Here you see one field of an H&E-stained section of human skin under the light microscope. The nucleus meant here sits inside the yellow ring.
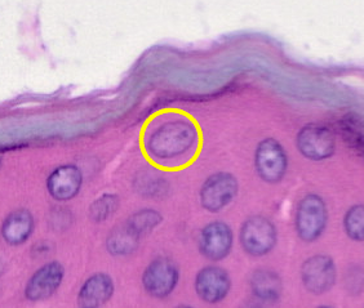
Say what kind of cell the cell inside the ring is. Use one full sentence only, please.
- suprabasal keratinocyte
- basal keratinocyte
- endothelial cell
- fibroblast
Students should answer that the cell inside the ring is a suprabasal keratinocyte.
